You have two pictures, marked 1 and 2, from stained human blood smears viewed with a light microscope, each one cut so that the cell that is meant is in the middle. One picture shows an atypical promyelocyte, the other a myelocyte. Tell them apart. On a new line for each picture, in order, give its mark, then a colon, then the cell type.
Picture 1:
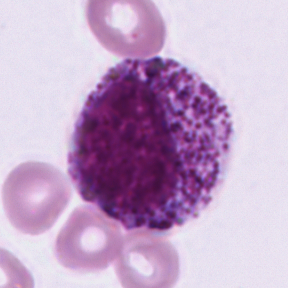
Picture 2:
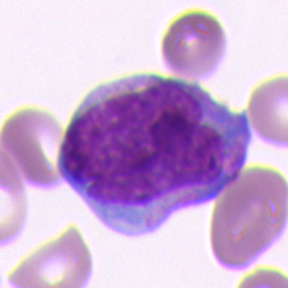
1: myelocyte
2: atypical promyelocyte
